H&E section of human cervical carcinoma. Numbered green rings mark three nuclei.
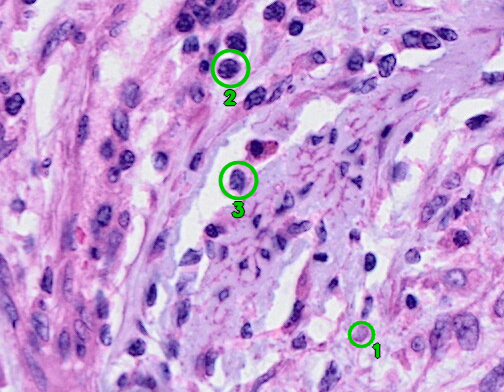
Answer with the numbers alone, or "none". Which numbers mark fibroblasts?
1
